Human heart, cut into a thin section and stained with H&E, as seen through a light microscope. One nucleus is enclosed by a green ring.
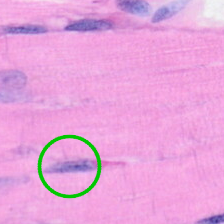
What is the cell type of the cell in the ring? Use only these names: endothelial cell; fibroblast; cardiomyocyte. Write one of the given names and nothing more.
endothelial cell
